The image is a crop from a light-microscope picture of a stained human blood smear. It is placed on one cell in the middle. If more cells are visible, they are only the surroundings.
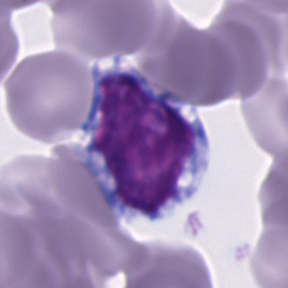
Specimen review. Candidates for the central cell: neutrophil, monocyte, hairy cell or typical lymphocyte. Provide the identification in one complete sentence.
This crop's central cell is a typical lymphocyte.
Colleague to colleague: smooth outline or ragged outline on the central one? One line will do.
The perimeter of the cell is irregular, with ragged sections or outward projections.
